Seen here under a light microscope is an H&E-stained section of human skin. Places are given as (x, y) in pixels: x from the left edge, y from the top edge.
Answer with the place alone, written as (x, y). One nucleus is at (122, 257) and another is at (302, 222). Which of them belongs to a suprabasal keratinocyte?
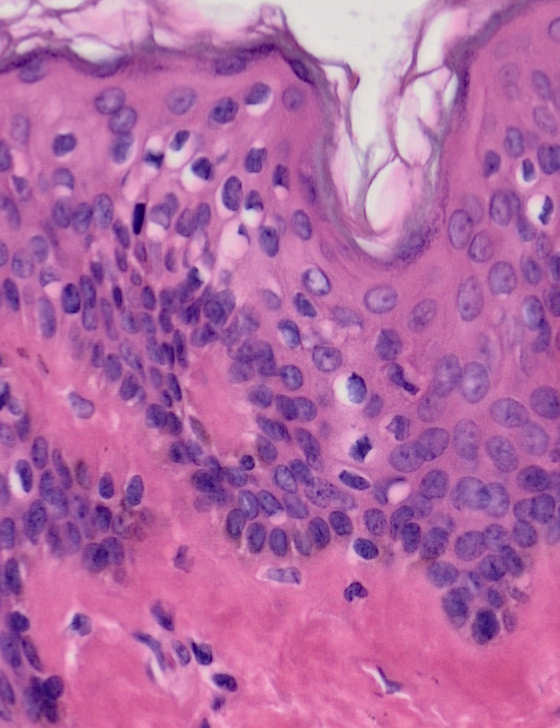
(302, 222)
